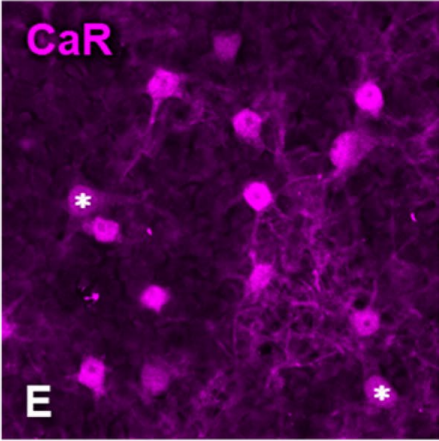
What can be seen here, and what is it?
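The cell bodies are round to oval, of fairly uniform size, and lie singly at roughly regular distances from one another, forming a loose mosaic rather than clusters. The background between the cells is dark, with faint diffuse magenta haze from out-of-focus processes.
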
